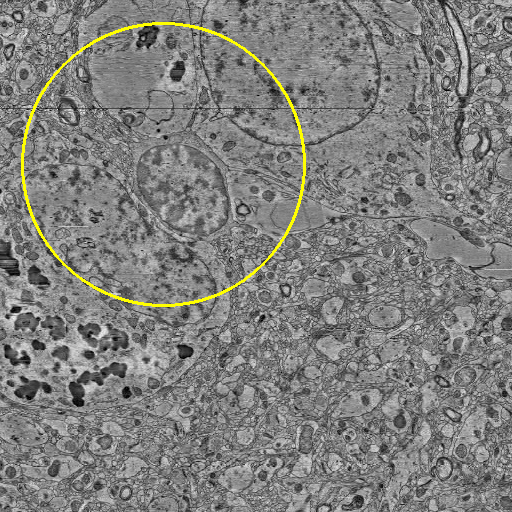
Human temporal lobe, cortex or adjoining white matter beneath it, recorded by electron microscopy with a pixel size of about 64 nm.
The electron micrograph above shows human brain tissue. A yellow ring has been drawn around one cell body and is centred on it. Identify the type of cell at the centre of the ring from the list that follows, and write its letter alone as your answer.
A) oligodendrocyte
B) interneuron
A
